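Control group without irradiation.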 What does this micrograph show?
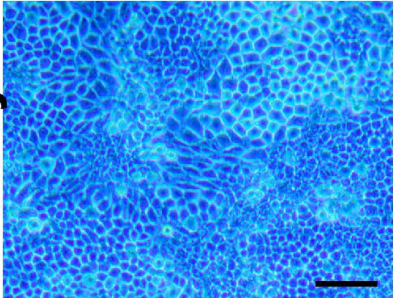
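The cells are small and compact, mostly polygonal, and are packed tightly against one another in a pavement-like mosaic with bright, refractile borders between them. Long cytoplasmic extensions are hardly seen; cell outlines are short and angular. Scattered among the flat cells are a few rounded, very bright, refractile cells sitting on top of the layer, as seen in cells that are rounding up to divide or detaching. There are no clear open spaces in the layer.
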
